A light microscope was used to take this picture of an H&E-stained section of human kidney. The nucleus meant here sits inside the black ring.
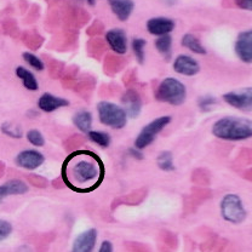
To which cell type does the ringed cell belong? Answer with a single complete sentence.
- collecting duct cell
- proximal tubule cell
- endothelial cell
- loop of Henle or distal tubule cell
The classification of the ringed cell is as an endothelial cell.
